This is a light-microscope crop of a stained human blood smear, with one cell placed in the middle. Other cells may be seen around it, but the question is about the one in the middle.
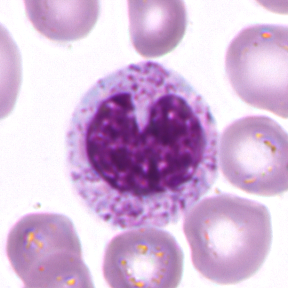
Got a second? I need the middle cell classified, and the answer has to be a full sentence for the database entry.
The center cell of this crop is a band neutrophil.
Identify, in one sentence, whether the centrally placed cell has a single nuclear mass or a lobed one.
Just one compact nuclear mass here, round, oval or kidney-shaped.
